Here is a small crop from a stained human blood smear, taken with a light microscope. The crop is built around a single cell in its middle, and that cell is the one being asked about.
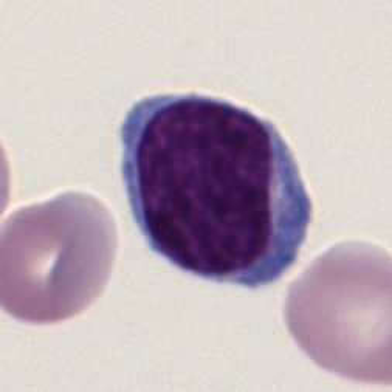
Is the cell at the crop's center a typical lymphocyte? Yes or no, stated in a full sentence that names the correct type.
Yes, the cell centred in this crop is a typical lymphocyte.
